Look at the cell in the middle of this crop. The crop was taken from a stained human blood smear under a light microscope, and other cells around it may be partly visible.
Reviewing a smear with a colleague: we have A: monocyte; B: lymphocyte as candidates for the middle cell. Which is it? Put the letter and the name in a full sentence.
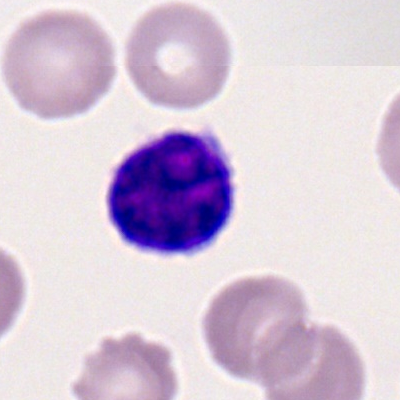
Of the options given, B is correct, the central cell being a lymphocyte.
